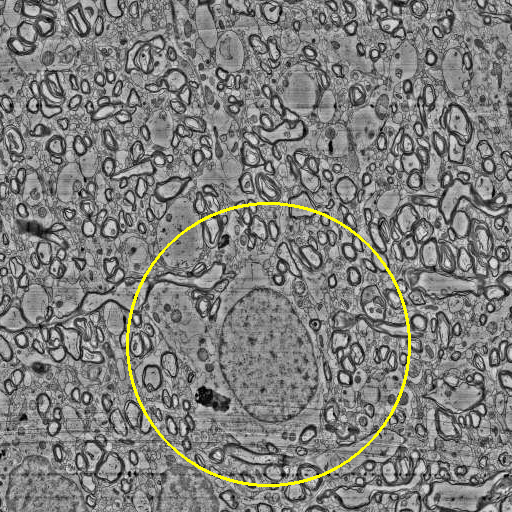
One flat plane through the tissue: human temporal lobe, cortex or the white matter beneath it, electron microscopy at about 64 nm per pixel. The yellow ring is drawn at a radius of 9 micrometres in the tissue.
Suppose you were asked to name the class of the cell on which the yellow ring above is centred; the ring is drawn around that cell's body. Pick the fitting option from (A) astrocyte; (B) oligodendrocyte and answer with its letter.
A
